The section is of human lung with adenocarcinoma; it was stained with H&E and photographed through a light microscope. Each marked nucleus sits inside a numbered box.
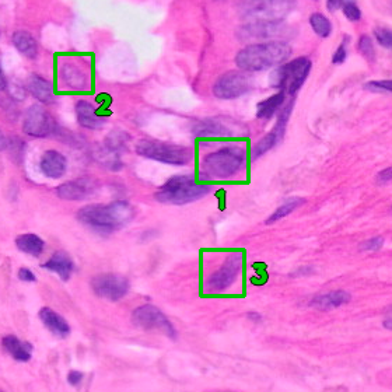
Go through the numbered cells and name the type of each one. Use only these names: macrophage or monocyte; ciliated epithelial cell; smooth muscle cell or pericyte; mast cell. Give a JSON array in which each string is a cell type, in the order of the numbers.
["ciliated epithelial cell", "ciliated epithelial cell", "smooth muscle cell or pericyte"]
